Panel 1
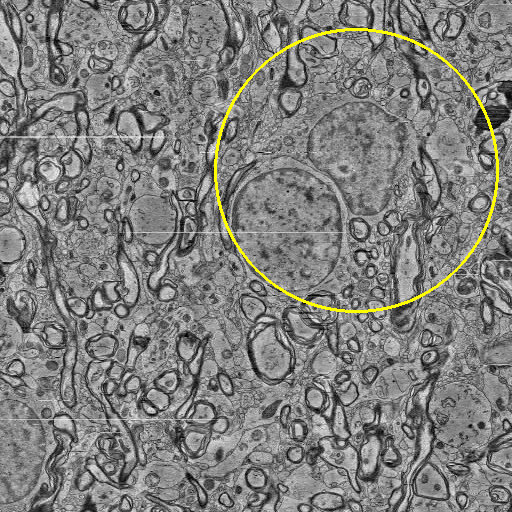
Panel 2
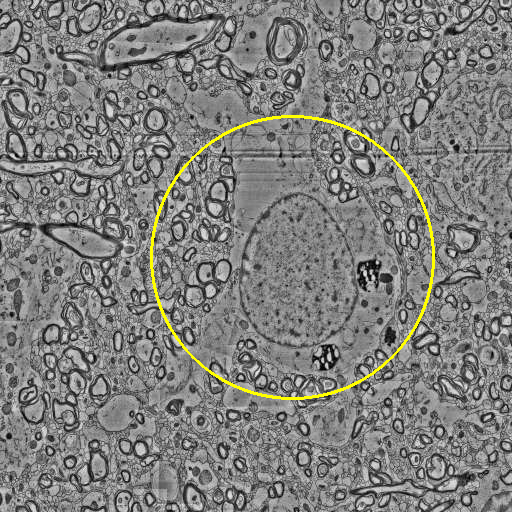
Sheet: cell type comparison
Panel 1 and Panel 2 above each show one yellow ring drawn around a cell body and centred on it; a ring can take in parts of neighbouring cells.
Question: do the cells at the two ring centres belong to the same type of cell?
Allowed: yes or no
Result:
no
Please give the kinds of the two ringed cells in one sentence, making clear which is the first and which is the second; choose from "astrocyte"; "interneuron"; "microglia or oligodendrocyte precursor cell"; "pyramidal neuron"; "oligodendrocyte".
In the second picture the ringed cell is an astrocyte; in the first it is an oligodendrocyte.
